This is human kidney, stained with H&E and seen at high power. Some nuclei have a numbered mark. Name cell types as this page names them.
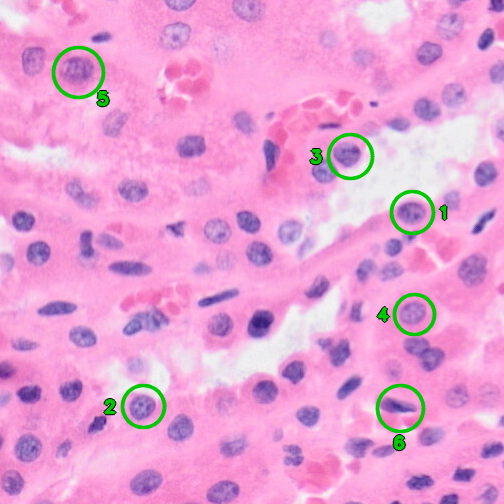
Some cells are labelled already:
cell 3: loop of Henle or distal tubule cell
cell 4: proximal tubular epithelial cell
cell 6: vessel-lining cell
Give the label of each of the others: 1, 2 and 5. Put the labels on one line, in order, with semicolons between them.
loop of Henle or distal tubule cell; loop of Henle or distal tubule cell; proximal tubular epithelial cell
